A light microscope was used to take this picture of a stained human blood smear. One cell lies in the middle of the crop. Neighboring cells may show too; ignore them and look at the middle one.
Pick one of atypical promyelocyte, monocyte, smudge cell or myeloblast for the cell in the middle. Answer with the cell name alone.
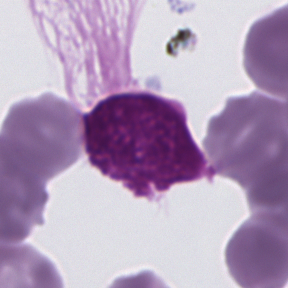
smudge cell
